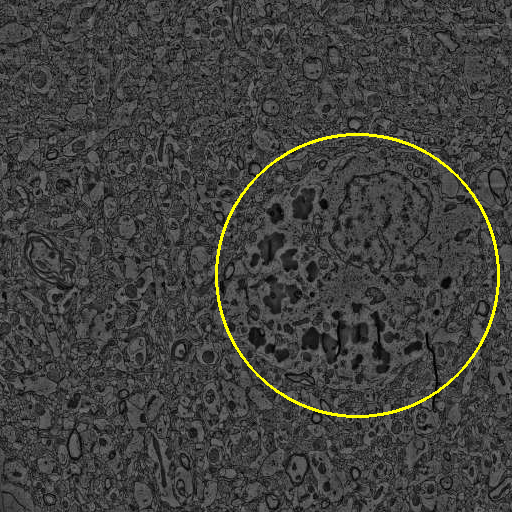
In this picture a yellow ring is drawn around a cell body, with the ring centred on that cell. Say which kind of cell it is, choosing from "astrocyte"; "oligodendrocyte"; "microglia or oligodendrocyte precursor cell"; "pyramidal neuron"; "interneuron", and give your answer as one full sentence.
Here it is an interneuron that sits at the centre of the drawn yellow ring.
